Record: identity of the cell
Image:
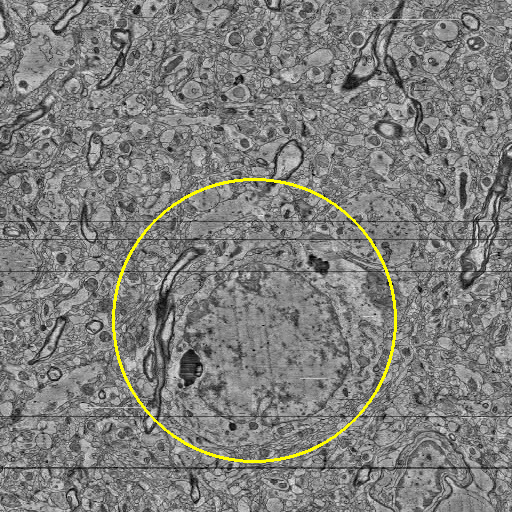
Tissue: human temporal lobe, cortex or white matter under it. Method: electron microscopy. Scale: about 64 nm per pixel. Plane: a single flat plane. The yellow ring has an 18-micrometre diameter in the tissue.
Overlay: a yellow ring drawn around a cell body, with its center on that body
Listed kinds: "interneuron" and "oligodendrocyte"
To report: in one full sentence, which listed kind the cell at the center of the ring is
In the image, the cell body at the ring's center belongs to an interneuron.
